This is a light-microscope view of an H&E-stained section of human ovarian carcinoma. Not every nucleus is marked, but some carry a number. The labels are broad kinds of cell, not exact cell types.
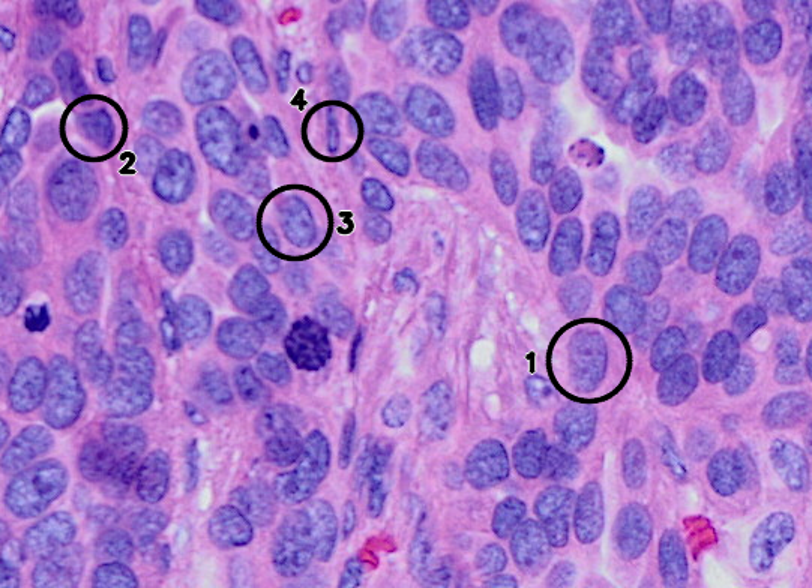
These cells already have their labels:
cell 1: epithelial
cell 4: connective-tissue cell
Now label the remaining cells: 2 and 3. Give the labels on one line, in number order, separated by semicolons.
epithelial; epithelial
